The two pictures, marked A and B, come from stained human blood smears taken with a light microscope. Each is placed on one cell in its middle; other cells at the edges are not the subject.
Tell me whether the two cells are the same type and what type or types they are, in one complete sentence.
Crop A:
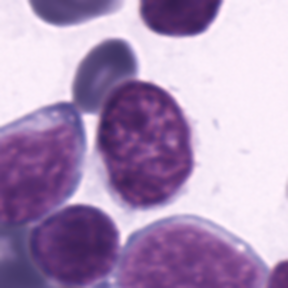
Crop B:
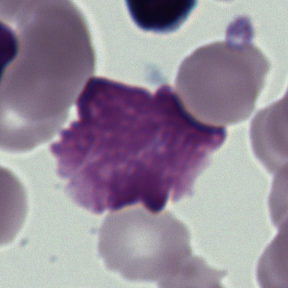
No, the cells are a myeloblast in crop A and a smudge cell in crop B.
